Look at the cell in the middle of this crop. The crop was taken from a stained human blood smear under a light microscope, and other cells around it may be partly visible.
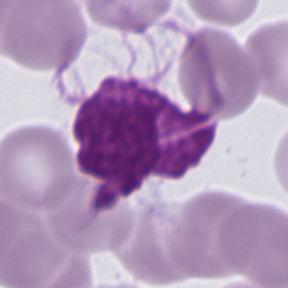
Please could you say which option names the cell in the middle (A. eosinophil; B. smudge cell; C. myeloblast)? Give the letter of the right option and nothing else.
B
